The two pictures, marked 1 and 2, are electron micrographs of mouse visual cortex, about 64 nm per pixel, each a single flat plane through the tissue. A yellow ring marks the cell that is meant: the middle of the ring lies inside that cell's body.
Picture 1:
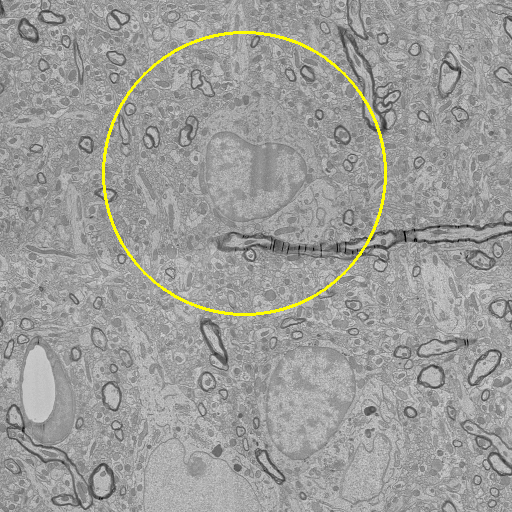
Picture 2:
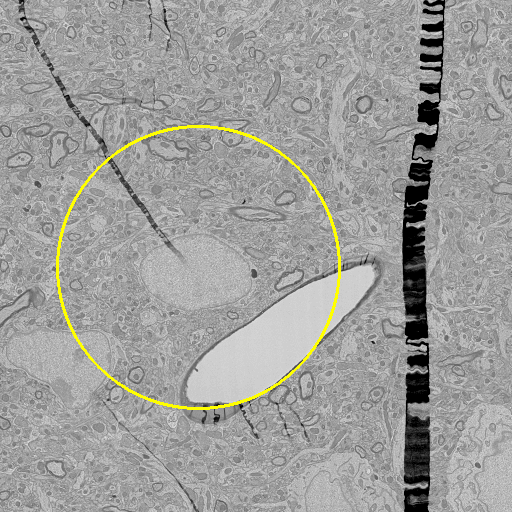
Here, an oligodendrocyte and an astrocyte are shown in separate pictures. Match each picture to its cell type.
It is picture 1 that shows an oligodendrocyte, and picture 2 that shows an astrocyte.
